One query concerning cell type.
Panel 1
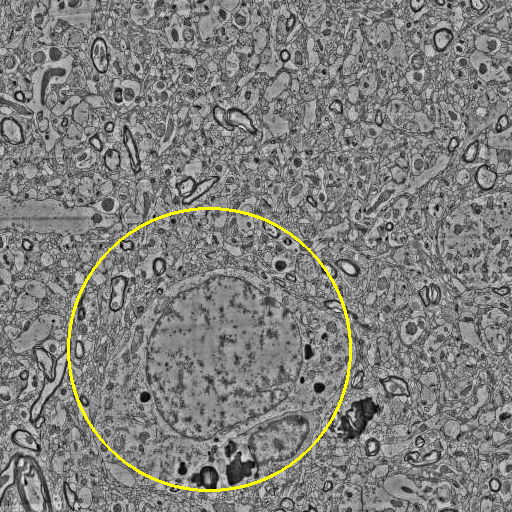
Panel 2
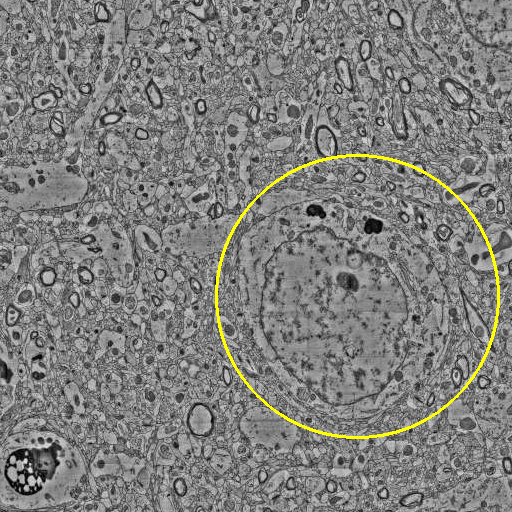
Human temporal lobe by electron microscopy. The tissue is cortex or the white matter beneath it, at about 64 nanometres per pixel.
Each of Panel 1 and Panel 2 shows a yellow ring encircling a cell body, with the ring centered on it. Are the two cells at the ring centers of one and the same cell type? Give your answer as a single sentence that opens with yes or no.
Yes, the cell centered in Panel 1 and the one in Panel 2 share a type.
